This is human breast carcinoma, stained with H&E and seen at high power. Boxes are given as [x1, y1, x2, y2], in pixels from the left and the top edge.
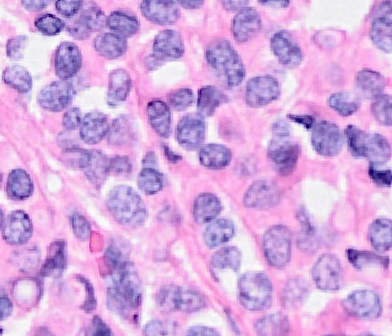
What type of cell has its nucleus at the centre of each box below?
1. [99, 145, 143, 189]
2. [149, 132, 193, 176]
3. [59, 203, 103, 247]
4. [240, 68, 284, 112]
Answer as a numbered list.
1. carcinoma cell
2. carcinoma cell
3. endothelial cell
4. carcinoma cell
